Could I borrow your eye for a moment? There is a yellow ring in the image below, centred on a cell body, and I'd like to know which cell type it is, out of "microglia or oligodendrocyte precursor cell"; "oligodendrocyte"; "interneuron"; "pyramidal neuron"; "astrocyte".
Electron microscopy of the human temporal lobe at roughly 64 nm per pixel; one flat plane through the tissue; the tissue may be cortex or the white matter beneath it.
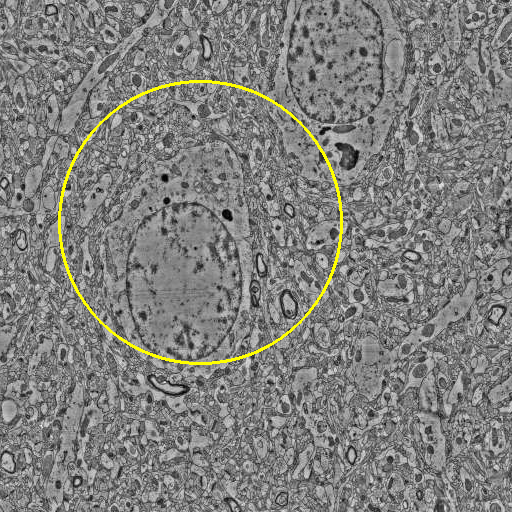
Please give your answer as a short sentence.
The cell body at the centre is that of a pyramidal neuron.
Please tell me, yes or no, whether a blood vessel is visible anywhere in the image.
No, no blood vessel can be seen.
